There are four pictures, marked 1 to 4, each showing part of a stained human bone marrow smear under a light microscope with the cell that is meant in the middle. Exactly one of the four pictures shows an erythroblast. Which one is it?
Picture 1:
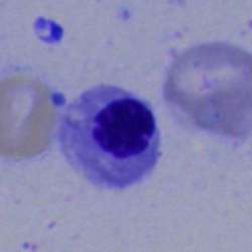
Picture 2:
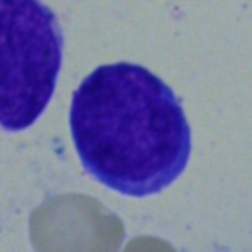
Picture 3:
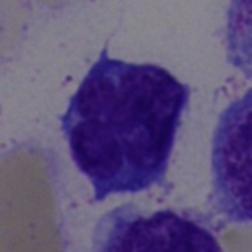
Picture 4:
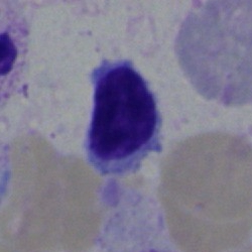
1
